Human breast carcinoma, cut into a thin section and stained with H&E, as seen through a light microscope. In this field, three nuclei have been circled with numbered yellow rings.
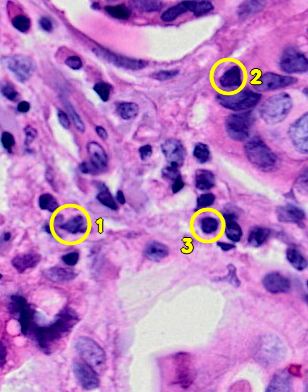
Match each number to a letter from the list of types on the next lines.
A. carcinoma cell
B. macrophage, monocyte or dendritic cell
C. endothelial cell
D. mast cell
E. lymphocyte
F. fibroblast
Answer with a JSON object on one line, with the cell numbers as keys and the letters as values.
{"1": "E", "2": "A", "3": "E"}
